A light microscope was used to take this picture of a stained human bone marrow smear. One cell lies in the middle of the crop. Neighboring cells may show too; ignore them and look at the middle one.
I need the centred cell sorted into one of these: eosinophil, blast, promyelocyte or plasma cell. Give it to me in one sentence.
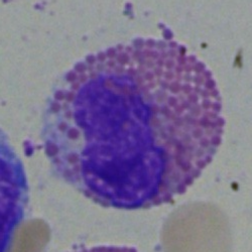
The central cell, amid any neighbouring cells, is an eosinophil.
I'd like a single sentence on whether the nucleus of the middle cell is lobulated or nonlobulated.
Have a look at the nucleus, which is one compact mass, round, oval or kidney-shaped.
